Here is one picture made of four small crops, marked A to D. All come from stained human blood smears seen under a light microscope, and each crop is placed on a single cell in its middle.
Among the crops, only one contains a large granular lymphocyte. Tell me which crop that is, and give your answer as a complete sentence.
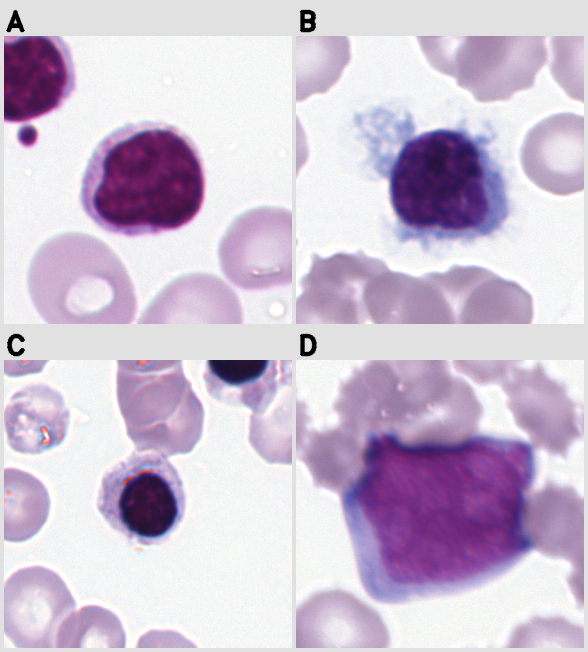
Crop A is the single crop that shows a large granular lymphocyte.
